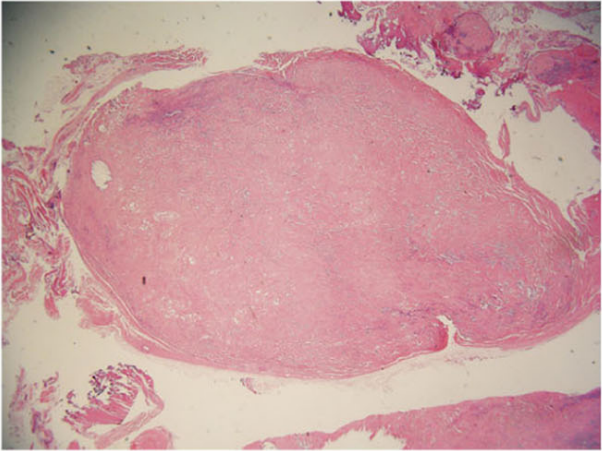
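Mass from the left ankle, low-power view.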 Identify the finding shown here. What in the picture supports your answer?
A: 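Hypocellular, ovoid shaped tumor. A single oval, well-circumscribed pink mass occupies most of the field. The mass is pale pink with few dark nuclei at this scale.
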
